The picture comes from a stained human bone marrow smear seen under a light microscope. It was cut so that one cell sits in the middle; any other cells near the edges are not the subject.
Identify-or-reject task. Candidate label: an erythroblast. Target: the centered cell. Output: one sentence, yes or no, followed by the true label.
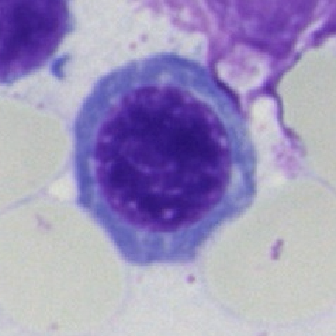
Yes, the identification of the central cell as an erythroblast is correct.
